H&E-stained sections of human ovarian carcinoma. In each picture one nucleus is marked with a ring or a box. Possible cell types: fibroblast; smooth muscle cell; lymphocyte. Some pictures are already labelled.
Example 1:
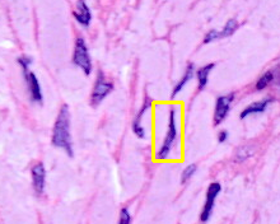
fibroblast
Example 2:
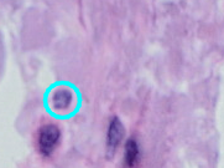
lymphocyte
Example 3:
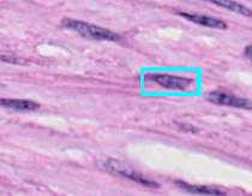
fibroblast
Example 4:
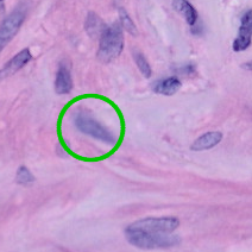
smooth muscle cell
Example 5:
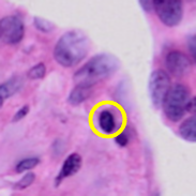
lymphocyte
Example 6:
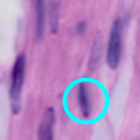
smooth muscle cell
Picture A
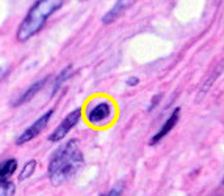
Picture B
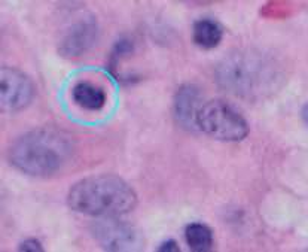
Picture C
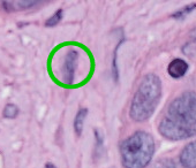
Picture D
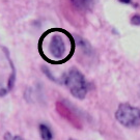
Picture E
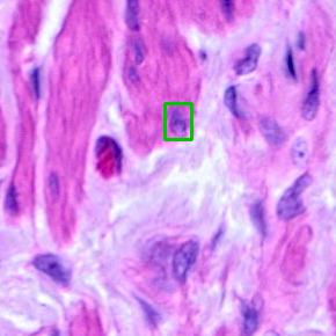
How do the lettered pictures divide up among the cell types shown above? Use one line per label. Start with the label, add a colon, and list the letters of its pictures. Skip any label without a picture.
fibroblast: C
smooth muscle cell: E
lymphocyte: A, B, D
